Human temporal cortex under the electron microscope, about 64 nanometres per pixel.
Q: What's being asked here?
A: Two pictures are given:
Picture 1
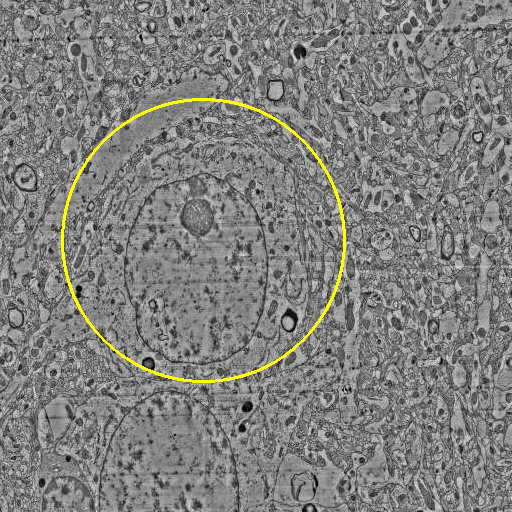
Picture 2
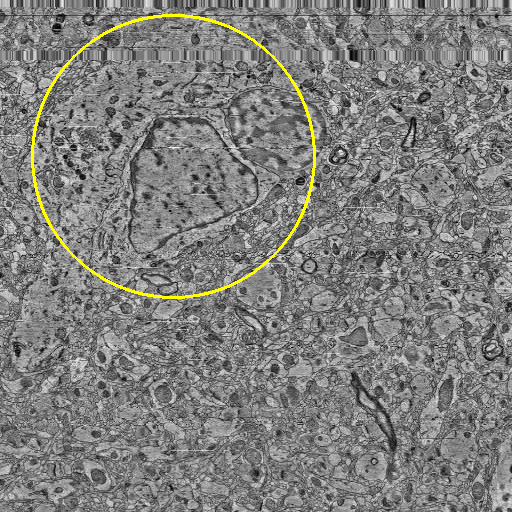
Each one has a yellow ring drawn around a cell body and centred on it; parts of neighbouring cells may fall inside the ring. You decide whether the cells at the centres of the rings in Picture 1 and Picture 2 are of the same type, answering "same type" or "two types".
two types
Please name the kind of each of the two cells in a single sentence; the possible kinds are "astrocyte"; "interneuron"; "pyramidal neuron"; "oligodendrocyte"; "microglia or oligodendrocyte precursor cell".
In the first picture the ring is centred on a pyramidal neuron, and in the second on a microglial cell or oligodendrocyte precursor cell.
